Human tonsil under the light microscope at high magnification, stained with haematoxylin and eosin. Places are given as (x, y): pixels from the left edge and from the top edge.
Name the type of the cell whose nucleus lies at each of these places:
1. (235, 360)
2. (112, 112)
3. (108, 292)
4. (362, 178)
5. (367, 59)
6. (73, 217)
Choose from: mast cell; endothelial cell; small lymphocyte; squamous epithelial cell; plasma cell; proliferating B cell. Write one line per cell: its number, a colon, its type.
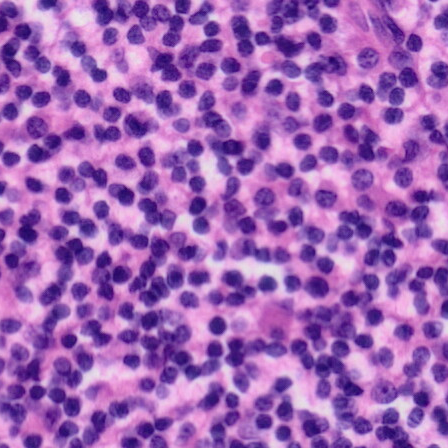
1: small lymphocyte
2: small lymphocyte
3: small lymphocyte
4: plasma cell
5: plasma cell
6: small lymphocyte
